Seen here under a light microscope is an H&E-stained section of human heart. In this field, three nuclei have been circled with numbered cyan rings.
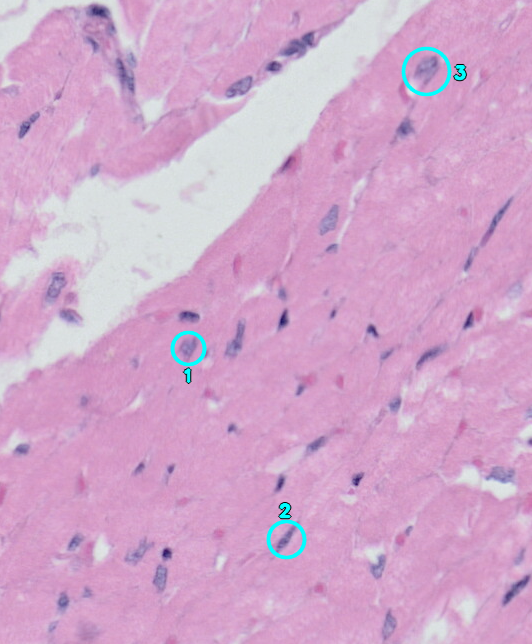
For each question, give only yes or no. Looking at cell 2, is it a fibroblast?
yes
